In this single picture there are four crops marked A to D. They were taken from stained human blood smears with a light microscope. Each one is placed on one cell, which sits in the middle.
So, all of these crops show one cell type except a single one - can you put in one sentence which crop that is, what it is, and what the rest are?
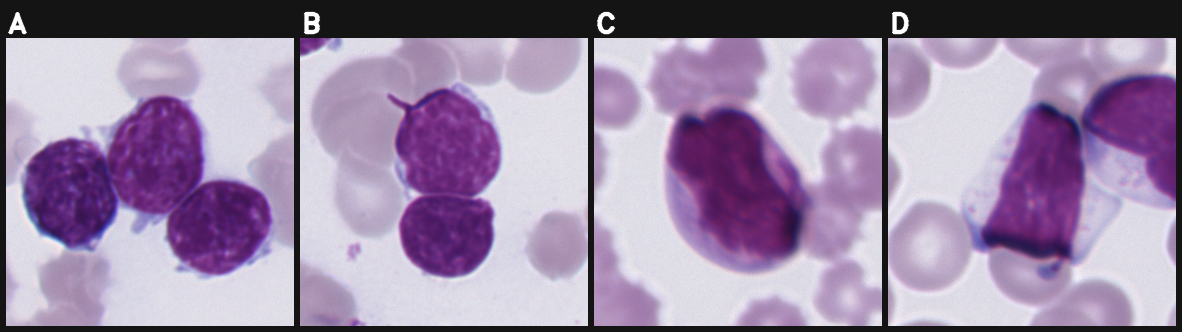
What sets crop D apart is that it is a large granular lymphocyte; the others are all myeloblasts.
